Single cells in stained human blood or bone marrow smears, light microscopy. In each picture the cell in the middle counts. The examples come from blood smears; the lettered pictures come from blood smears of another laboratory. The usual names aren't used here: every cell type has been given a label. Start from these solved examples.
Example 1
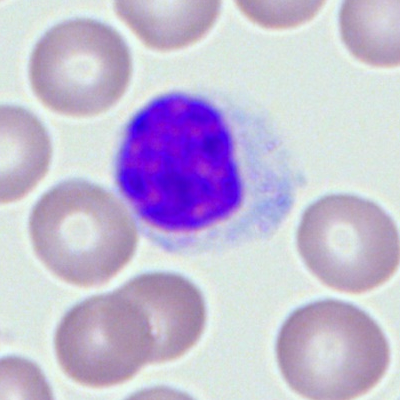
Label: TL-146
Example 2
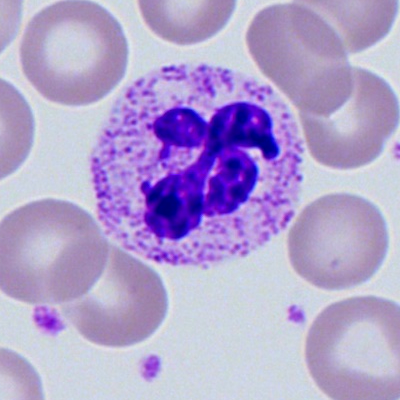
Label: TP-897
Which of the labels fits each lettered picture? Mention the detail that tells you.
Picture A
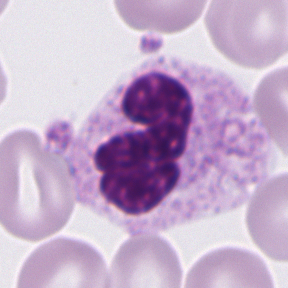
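Label: TP-897. The nucleus is bent into a curved C-like shape.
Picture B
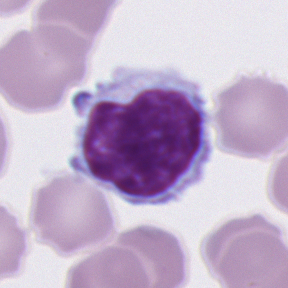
Label: TL-146. The cytoplasm is a narrow pale grey-blue rim that is broadest above the nucleus.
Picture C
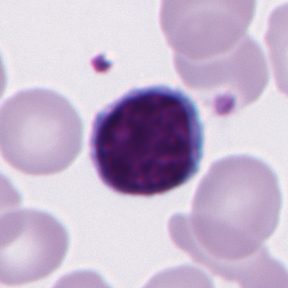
Label: TL-146. Only a very thin rim of cytoplasm is visible around the nucleus.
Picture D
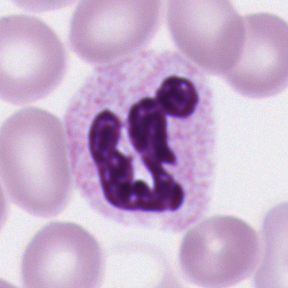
Label: TP-897. The cytoplasm is abundant and pale pink.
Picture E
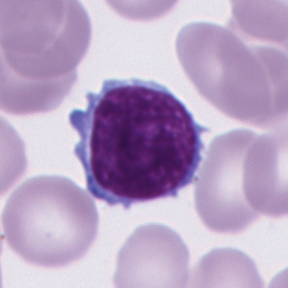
Label: TL-146. The cytoplasm forms only a narrow rim around the nucleus.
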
